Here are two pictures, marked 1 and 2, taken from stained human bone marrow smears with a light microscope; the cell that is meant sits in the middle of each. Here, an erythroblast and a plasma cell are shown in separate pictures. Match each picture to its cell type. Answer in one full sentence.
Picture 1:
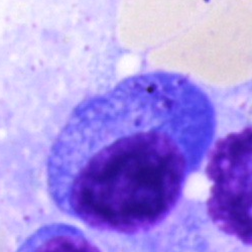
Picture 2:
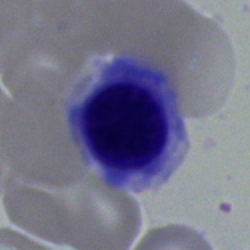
It is picture 1 that shows a plasma cell, and picture 2 that shows an erythroblast.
